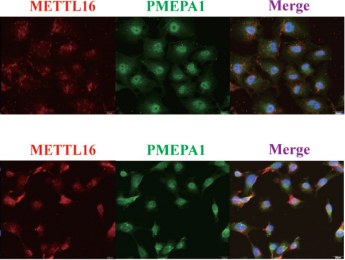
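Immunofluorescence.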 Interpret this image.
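The red signal is granular and dotted, spread over the nuclei and the surrounding cytoplasm. The green signal outlines the irregular, somewhat angular cell bodies, being strongest close around the nucleus and fading toward the cell edges. In the merged images the colours overlap over both nucleus and cytoplasm.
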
